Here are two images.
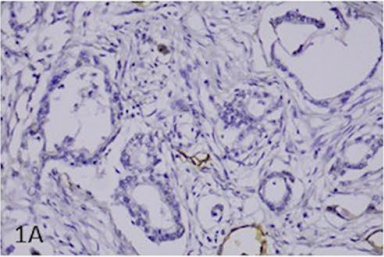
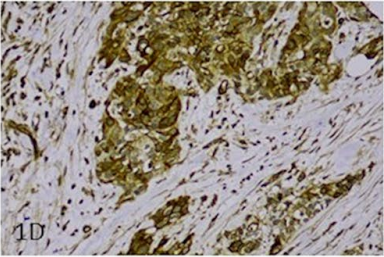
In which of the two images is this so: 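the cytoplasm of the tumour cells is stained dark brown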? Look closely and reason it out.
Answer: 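The second image. Second image: nests of tumour cells are filled with dense dark brown stain. First image: the gland-forming cells are blue with no brown in their cytoplasm.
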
